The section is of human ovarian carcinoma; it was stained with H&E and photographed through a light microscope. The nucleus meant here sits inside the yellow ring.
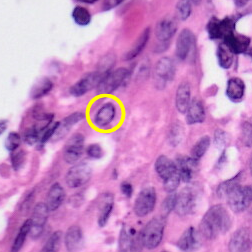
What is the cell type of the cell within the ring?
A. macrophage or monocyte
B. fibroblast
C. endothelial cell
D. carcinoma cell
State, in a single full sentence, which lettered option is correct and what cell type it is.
Option A is correct in stating that the cell within the ring is a macrophage or monocyte.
